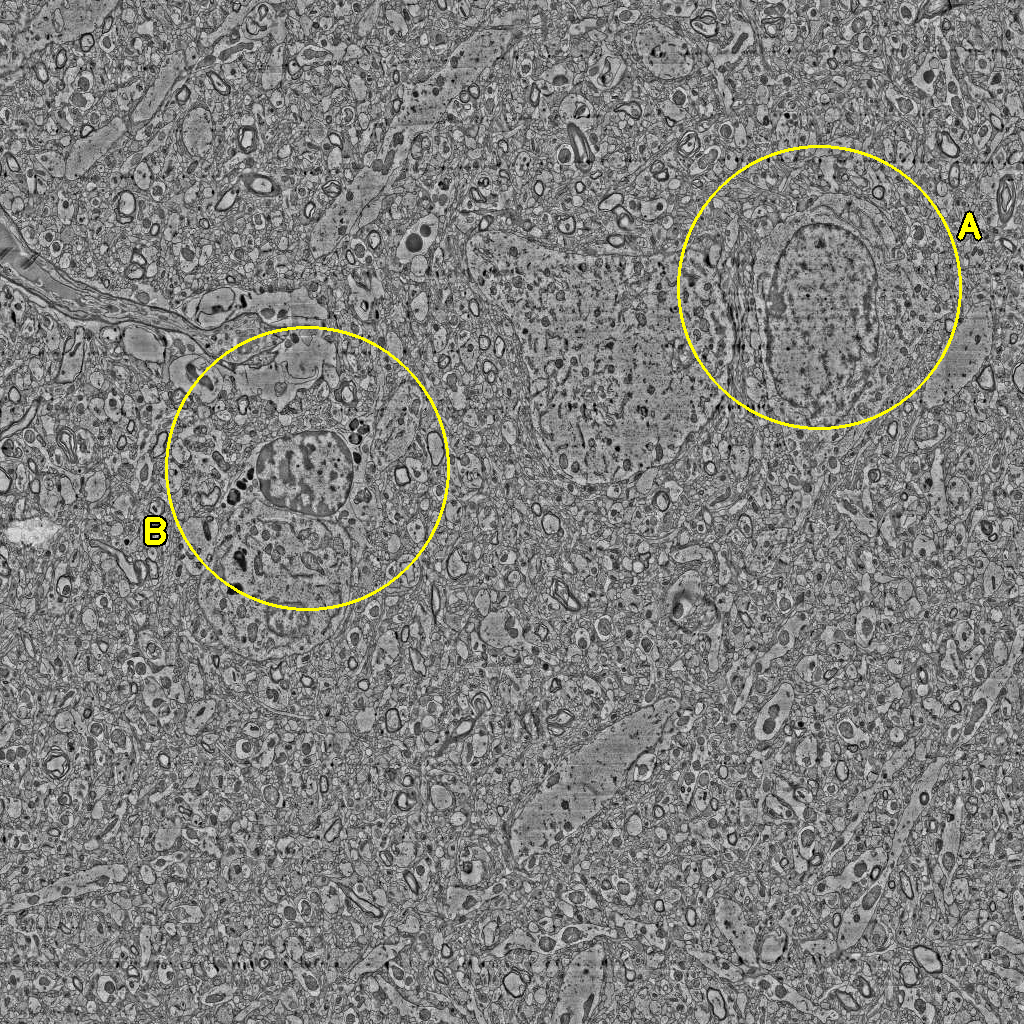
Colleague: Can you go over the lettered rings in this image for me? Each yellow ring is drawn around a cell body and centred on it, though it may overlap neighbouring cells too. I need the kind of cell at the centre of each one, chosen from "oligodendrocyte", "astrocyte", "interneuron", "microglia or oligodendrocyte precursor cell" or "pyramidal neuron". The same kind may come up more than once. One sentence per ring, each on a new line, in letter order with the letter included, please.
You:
Ring A marks the cell body of an interneuron.
Ring B marks the cell body of a microglial cell or oligodendrocyte precursor cell.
